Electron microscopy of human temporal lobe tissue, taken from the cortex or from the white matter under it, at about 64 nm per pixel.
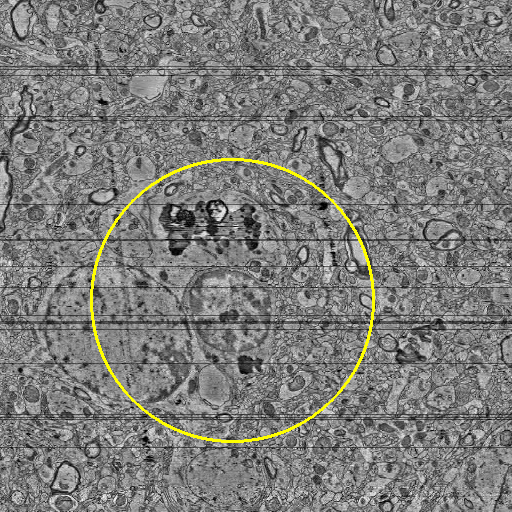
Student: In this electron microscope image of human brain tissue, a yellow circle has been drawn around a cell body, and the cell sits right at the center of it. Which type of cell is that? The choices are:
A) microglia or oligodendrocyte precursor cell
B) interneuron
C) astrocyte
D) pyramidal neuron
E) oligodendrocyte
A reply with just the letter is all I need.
E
